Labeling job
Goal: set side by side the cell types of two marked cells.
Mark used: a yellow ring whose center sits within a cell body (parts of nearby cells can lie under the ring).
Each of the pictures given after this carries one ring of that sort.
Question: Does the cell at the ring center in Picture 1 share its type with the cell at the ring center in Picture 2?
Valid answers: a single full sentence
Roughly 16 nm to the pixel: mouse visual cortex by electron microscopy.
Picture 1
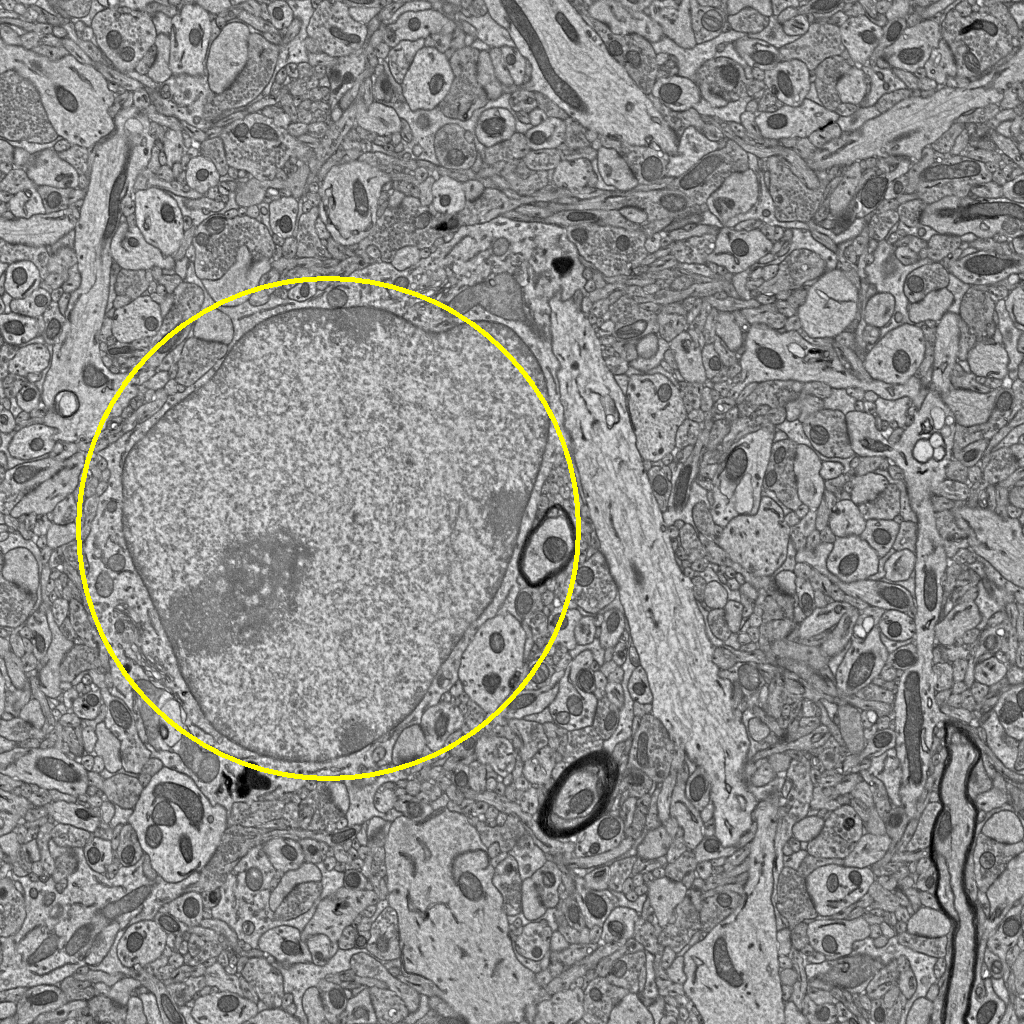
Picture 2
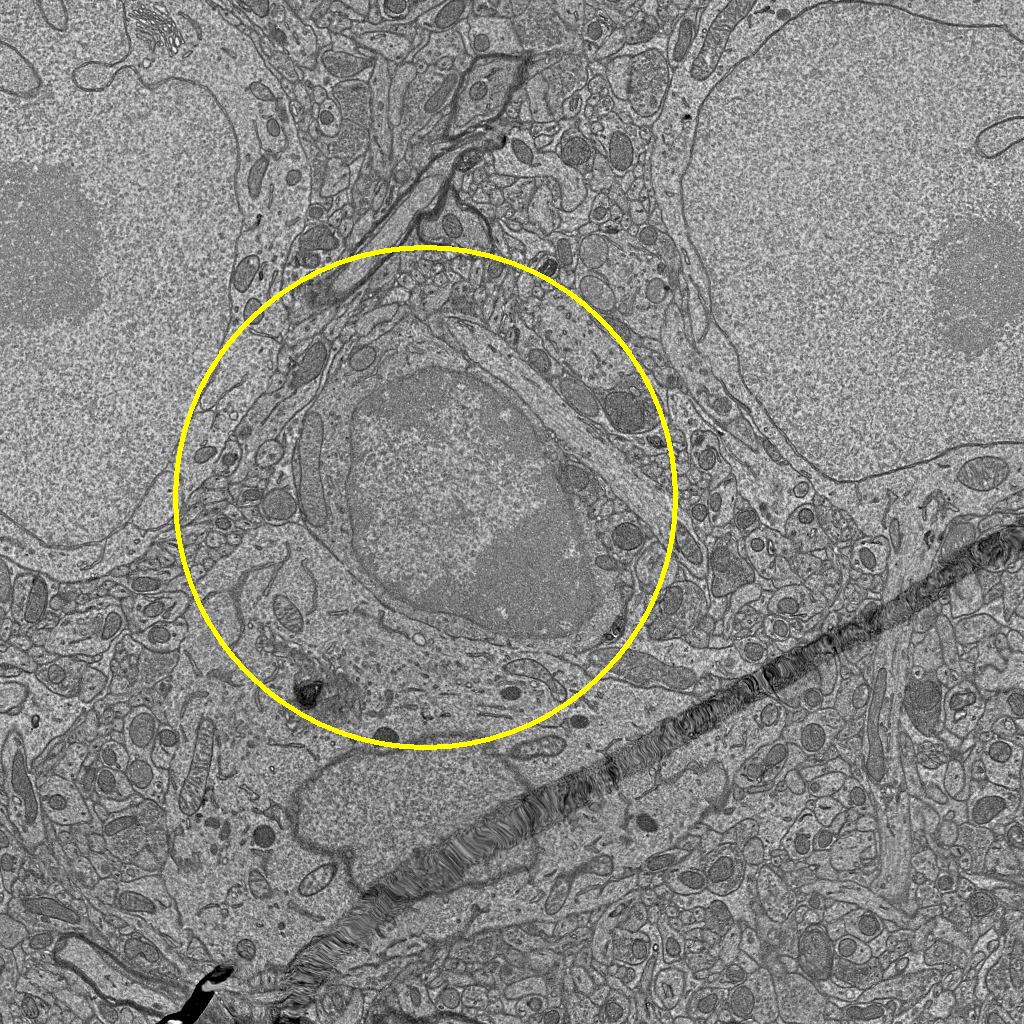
No, in Pictures 1 and 2 the cells at the ring centers have separate types.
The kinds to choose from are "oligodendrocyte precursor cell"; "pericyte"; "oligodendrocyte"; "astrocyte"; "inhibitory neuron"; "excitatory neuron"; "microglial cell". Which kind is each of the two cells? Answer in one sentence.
For the first picture it is an astrocyte; for the second, an oligodendrocyte.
